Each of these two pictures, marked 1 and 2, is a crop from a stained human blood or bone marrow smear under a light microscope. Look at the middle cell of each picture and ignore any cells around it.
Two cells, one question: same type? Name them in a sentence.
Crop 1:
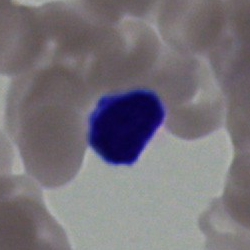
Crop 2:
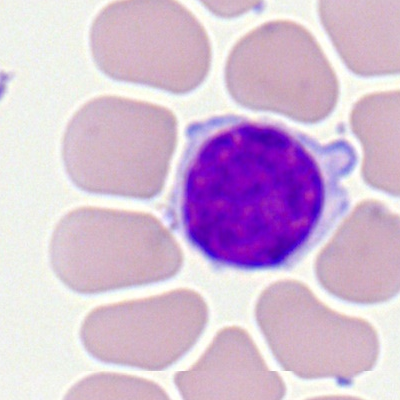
Yes, both of the crops show lymphocytes.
